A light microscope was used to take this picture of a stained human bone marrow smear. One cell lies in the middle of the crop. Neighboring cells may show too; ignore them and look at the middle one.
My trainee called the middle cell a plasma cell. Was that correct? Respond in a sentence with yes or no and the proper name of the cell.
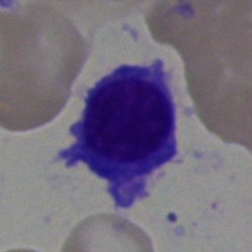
Yes, in this crop the cell in the middle is a plasma cell.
